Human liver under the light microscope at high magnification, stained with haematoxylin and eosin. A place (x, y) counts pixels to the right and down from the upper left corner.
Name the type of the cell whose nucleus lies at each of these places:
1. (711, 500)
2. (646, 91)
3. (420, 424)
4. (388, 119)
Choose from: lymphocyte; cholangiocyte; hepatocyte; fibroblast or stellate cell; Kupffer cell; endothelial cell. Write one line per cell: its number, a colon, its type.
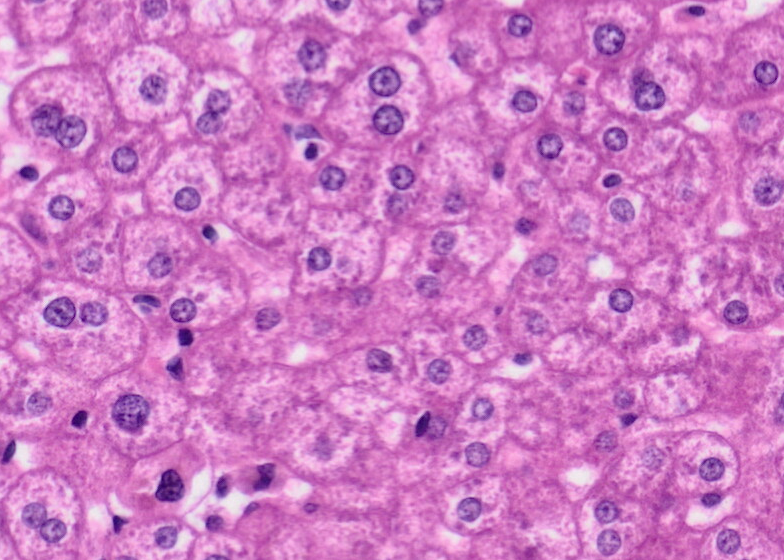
1: Kupffer cell
2: hepatocyte
3: fibroblast or stellate cell
4: hepatocyte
